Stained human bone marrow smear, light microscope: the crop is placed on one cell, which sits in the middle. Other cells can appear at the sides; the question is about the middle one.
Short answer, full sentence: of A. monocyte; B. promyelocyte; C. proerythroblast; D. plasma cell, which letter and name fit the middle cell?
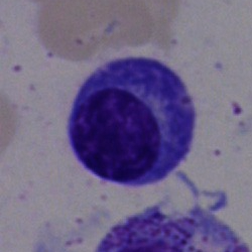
The cell at the heart of the crop is a plasma cell, so choose option D.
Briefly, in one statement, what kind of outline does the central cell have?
Happy to help: the outline is smooth and shows no projections.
